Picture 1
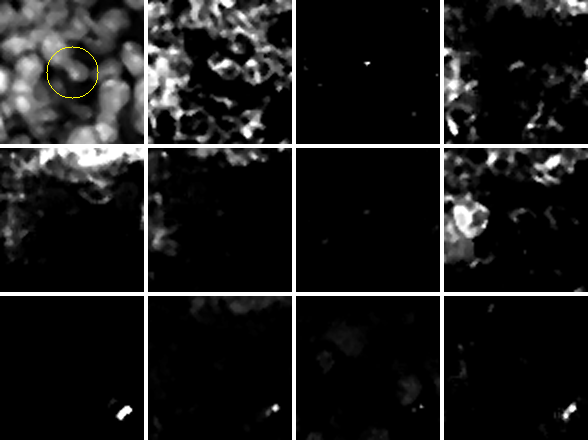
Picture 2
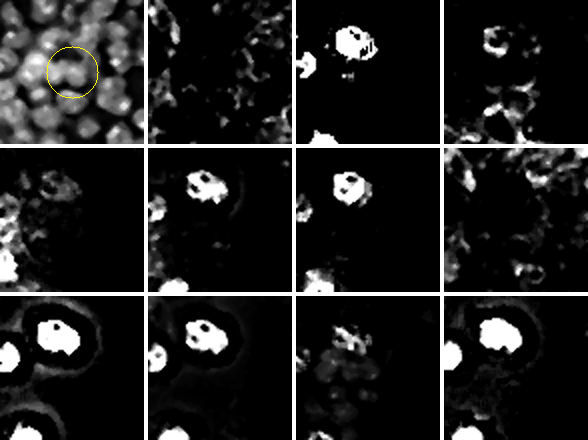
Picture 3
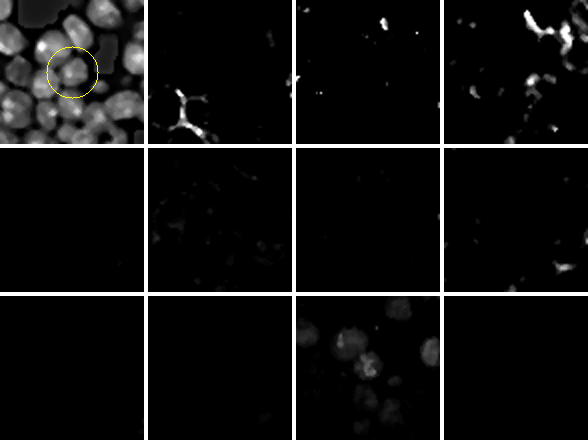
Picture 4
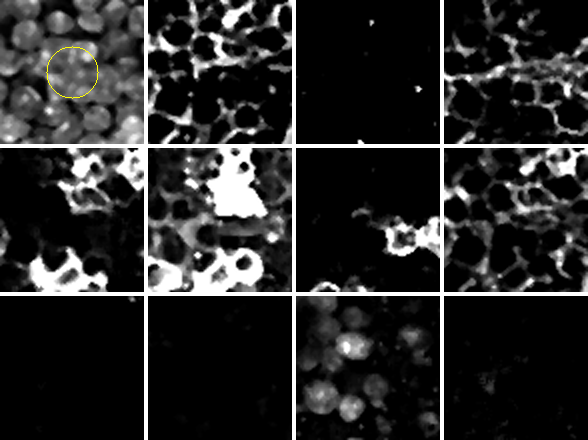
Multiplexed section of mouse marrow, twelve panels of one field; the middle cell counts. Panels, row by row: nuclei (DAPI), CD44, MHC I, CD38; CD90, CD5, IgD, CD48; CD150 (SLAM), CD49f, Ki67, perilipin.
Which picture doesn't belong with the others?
Picture 4.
